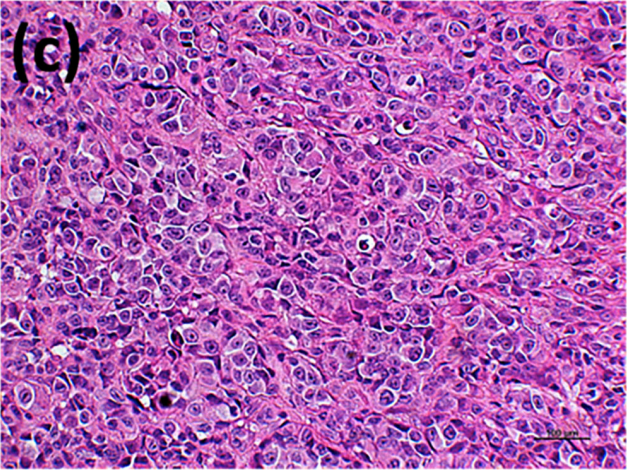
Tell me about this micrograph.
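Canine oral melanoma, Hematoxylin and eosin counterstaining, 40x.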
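Sheets of polygonal to round tumour cells with distinct cell borders and pink cytoplasm fill the field, separated by thin pink strands. Their nuclei are large, round to oval and vary in size, with vesicular chromatin and prominent nucleoli, showing marked nuclear atypia.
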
